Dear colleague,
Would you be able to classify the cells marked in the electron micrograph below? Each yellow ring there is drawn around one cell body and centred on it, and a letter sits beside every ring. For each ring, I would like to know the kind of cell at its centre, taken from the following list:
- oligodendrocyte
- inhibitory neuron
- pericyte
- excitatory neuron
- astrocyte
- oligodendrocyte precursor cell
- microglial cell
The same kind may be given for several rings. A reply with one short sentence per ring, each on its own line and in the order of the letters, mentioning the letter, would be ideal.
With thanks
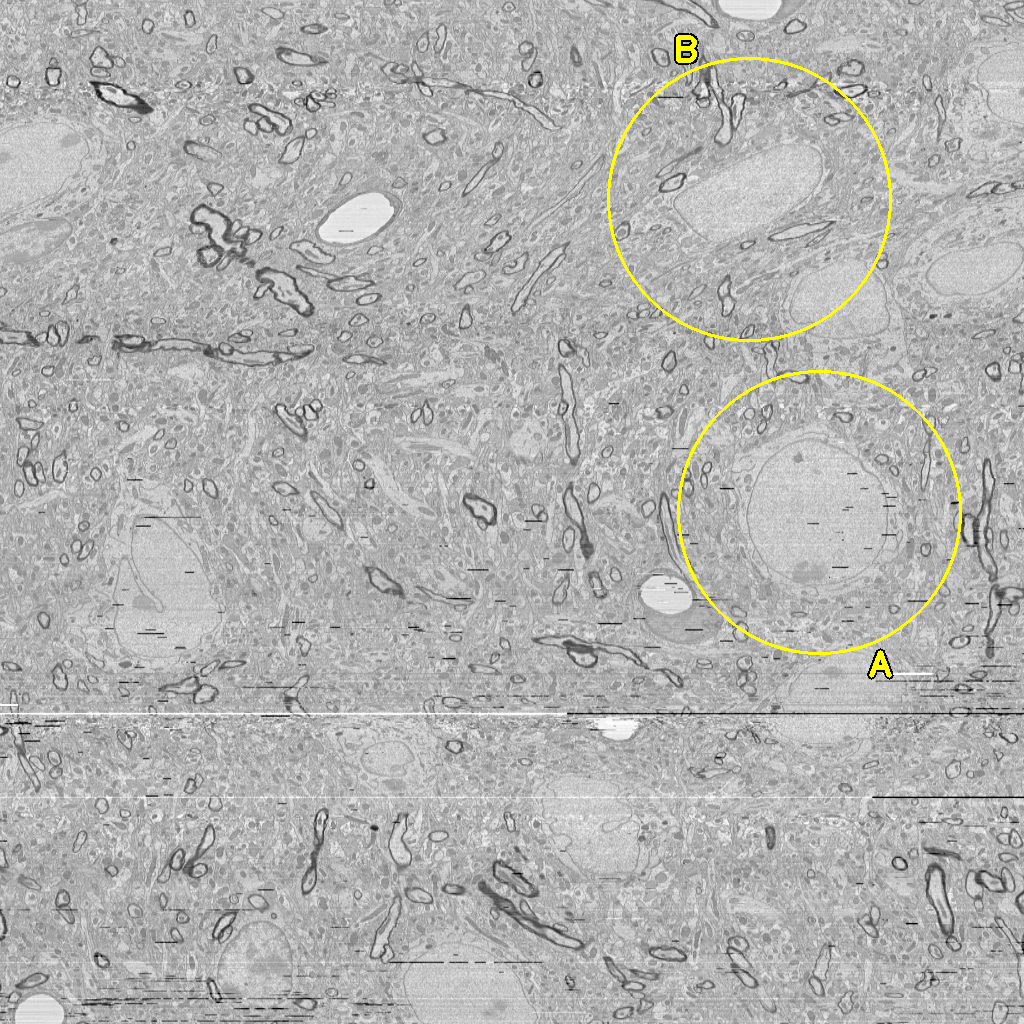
Ring A contains an excitatory neuron at its centre.
Ring B contains an astrocyte at its centre.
